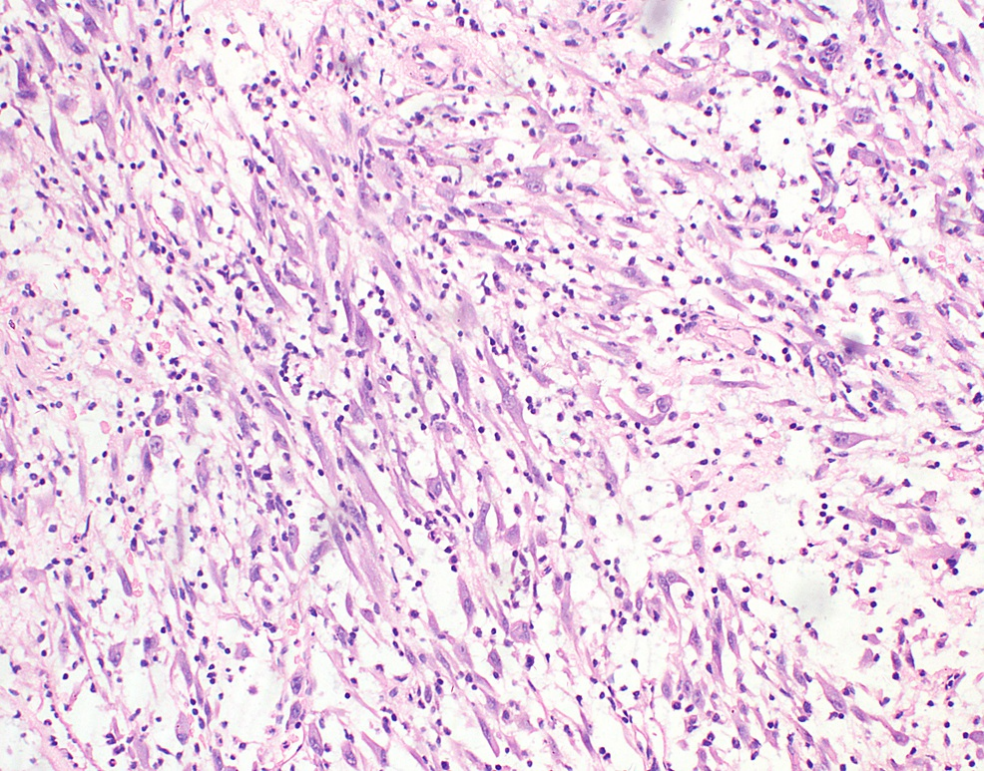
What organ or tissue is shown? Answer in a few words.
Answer: Myxomatous stroma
